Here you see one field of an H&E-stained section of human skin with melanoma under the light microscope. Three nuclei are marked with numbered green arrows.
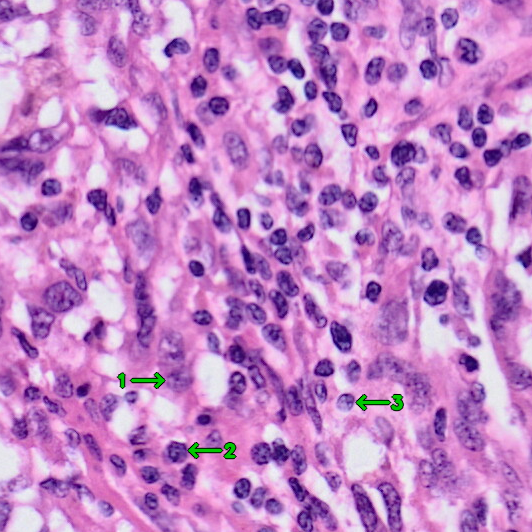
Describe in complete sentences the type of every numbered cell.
Cell 1 is a melanoma cell. Cells 2 and 3 are lymphocytes.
